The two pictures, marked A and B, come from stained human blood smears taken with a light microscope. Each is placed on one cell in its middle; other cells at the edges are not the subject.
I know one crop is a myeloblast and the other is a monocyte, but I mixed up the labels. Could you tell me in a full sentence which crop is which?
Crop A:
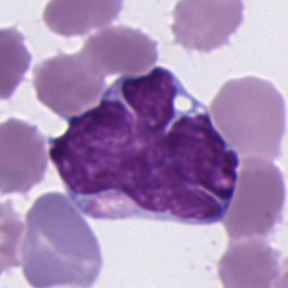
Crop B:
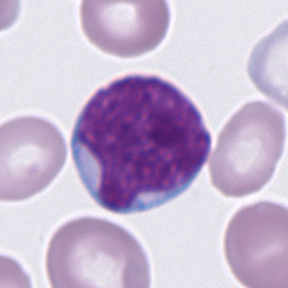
To sum up the two crops, crop A is a monocyte and crop B is a myeloblast.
